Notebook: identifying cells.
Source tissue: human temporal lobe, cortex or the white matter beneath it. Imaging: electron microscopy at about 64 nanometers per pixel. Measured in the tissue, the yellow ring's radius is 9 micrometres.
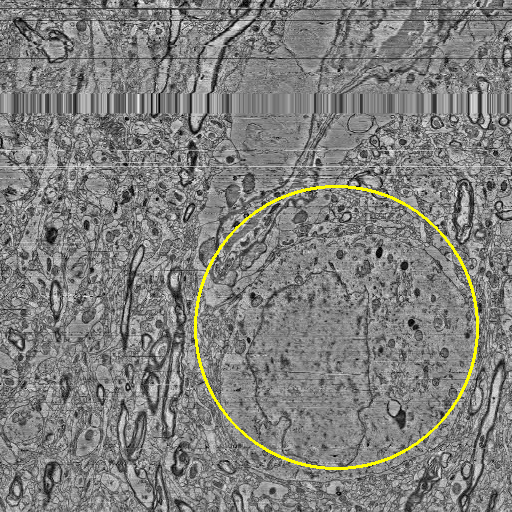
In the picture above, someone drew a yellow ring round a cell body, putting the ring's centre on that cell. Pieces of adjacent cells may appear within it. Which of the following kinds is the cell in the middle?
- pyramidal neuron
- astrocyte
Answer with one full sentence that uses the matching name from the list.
In this picture, the yellow ring is centred on the body of a pyramidal neuron.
